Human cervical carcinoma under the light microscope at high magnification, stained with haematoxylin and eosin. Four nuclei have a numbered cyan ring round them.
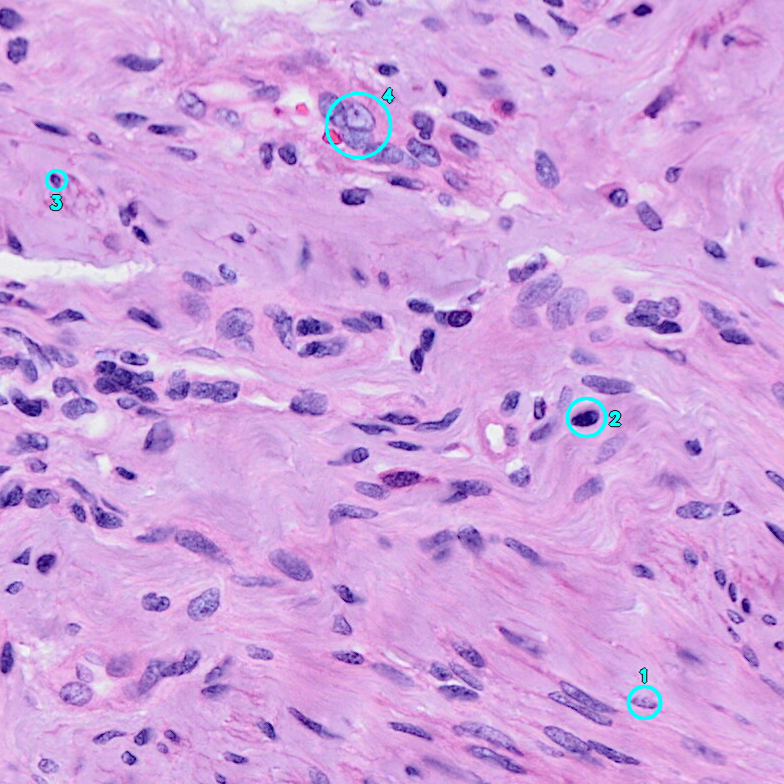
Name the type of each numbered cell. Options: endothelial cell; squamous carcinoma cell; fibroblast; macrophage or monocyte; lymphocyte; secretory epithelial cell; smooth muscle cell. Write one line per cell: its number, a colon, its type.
1: fibroblast
2: lymphocyte
3: smooth muscle cell
4: endothelial cell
